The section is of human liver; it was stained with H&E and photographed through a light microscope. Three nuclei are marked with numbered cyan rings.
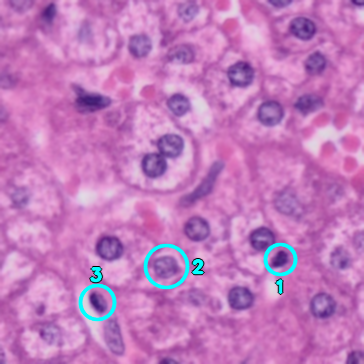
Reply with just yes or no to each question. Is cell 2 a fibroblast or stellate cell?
no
